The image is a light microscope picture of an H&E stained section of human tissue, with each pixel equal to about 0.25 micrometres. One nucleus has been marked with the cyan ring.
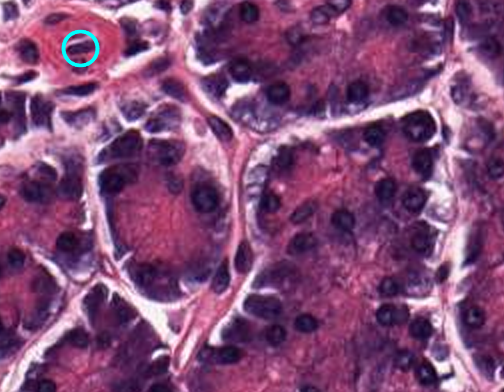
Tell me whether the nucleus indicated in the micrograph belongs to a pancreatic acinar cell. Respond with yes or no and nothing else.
no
